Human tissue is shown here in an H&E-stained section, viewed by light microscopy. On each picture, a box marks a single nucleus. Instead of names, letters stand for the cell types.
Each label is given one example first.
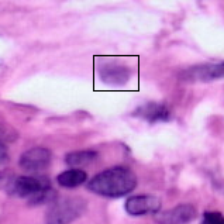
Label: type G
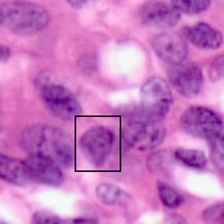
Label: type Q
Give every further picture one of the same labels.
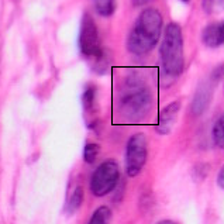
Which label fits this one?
type Q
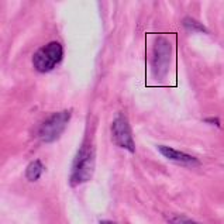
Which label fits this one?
type G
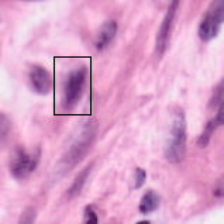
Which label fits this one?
type G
